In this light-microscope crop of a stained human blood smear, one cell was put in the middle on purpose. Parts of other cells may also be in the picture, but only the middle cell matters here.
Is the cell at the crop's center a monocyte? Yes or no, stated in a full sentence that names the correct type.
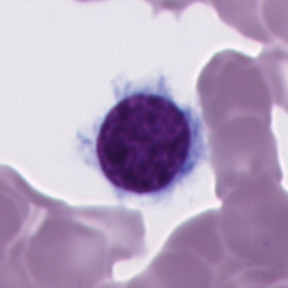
No, the cell placed at the center is a hairy cell rather than a monocyte.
